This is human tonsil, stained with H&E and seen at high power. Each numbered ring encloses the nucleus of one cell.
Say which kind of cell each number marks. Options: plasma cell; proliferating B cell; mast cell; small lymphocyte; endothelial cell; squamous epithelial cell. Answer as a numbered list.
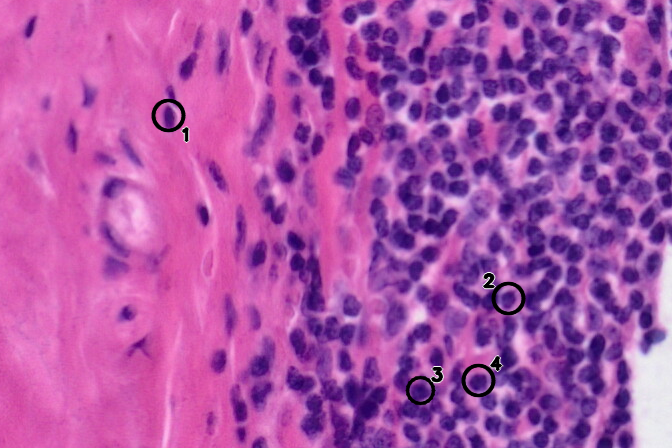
1. mast cell
2. small lymphocyte
3. small lymphocyte
4. small lymphocyte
